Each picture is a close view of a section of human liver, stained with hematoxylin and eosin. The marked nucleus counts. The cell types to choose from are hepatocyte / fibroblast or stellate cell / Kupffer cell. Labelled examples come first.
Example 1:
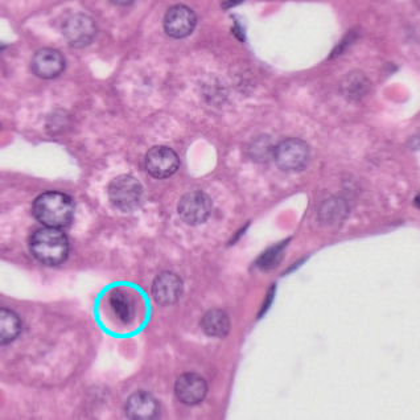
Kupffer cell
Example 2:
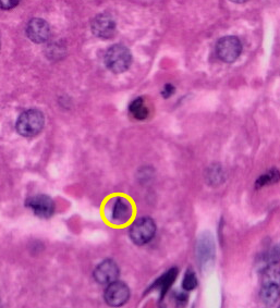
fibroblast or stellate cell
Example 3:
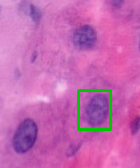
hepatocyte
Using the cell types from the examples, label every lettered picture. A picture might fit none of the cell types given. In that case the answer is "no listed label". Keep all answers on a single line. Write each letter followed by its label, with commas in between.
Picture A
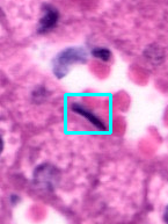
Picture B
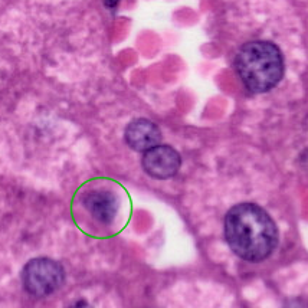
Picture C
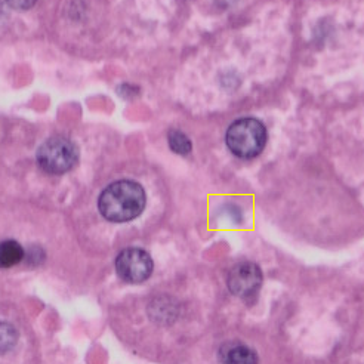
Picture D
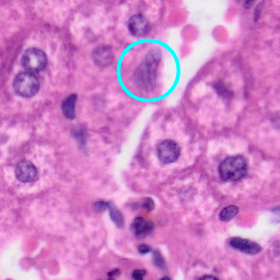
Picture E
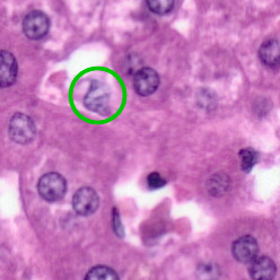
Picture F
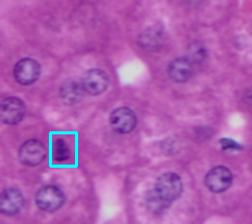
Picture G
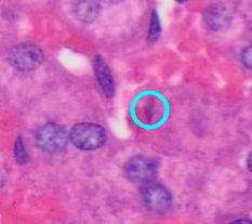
A fibroblast or stellate cell, B no listed label, C no listed label, D Kupffer cell, E Kupffer cell, F fibroblast or stellate cell, G no listed label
